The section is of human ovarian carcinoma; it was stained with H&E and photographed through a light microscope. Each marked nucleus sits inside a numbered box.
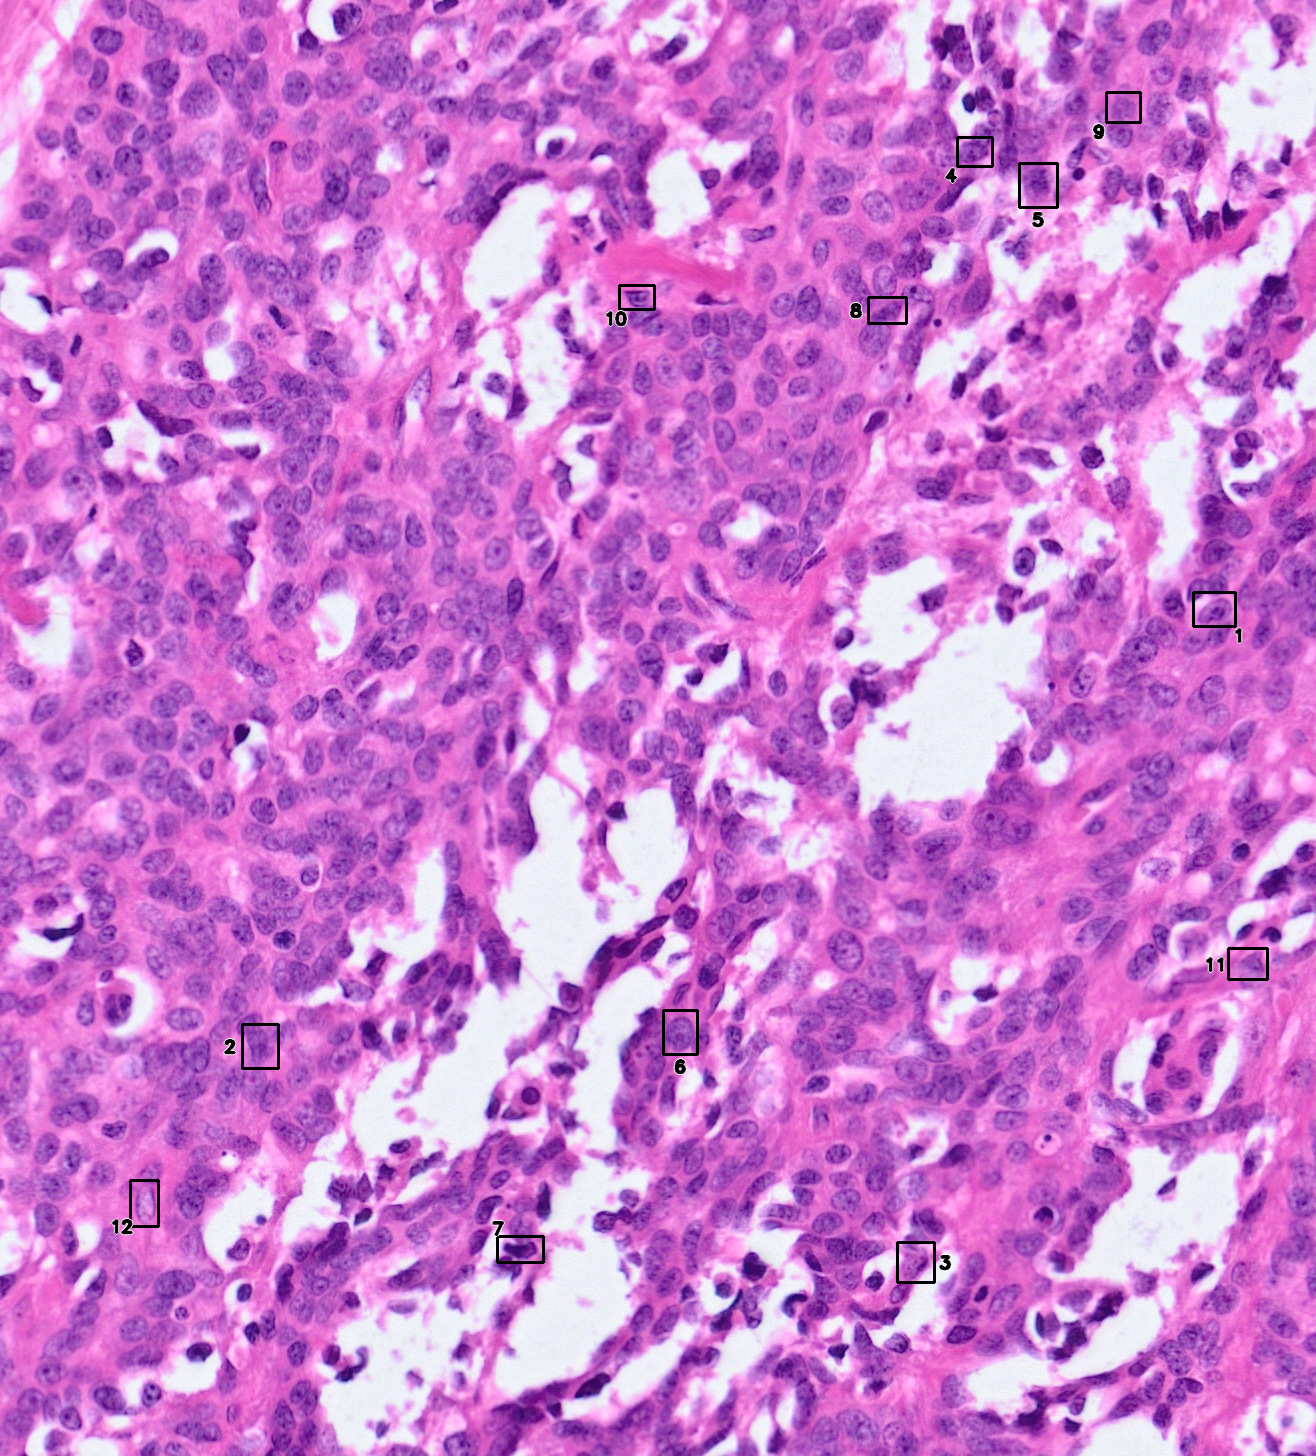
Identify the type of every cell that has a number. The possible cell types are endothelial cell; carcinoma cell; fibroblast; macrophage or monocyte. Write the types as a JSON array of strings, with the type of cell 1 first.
["macrophage or monocyte", "carcinoma cell", "macrophage or monocyte", "macrophage or monocyte", "carcinoma cell", "carcinoma cell", "carcinoma cell", "carcinoma cell", "carcinoma cell", "macrophage or monocyte", "endothelial cell", "endothelial cell"]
